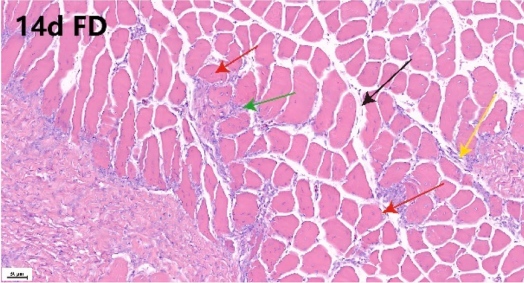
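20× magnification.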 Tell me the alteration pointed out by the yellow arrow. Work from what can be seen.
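The arrow points to a thickened interstitial area with many elongated purple nuclei. This area lies between fiber groups and is paler and fibrous. On this evidence: fibroblast hyperplasia.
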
